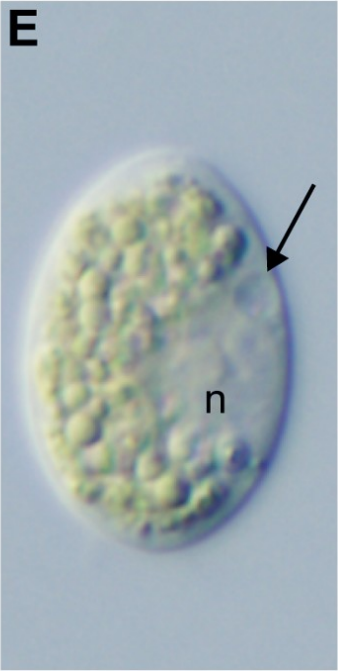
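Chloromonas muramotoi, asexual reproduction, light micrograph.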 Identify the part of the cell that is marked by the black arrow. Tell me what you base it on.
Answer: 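The arrow points to a small clear rounded space near the cell margin. The space lies in a granule-free region of the cell.
Contractile vacuole.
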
